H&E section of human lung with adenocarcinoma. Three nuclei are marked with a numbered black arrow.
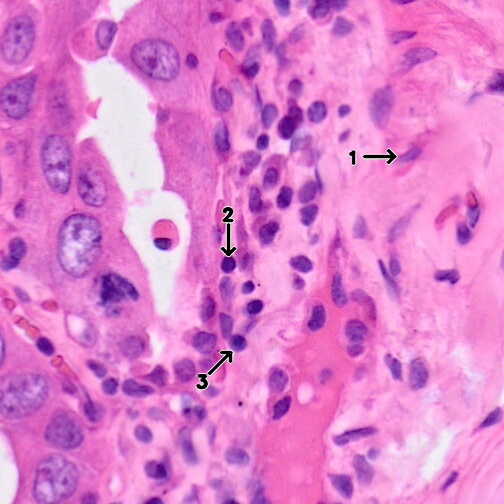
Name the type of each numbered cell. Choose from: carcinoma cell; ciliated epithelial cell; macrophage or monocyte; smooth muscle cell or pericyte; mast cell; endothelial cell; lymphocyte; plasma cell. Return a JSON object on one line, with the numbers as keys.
{"1": "smooth muscle cell or pericyte", "2": "lymphocyte", "3": "lymphocyte"}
